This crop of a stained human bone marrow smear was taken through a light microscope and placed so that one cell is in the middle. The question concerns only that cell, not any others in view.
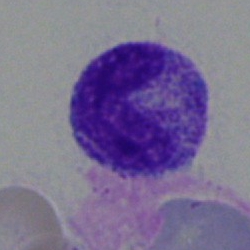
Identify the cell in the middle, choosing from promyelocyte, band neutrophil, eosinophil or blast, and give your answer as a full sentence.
The cell in the middle of this crop is a band neutrophil.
